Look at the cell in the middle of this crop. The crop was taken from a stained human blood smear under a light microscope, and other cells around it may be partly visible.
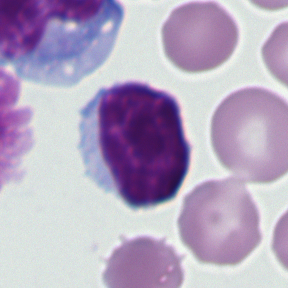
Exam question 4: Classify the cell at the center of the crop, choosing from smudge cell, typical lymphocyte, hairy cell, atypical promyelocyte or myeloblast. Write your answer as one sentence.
Classification of the middle cell gives a typical lymphocyte.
